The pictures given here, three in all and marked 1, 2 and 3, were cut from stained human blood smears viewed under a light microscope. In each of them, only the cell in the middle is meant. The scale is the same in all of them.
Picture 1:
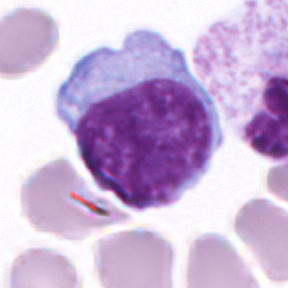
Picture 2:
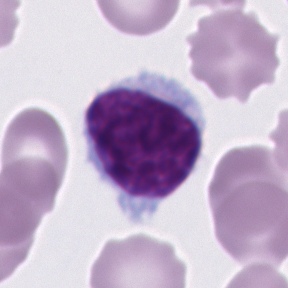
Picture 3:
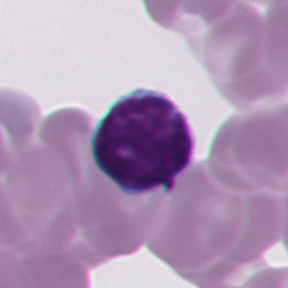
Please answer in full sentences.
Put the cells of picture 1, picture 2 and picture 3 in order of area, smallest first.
The order is 3, 2, 1, beginning with the smallest.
